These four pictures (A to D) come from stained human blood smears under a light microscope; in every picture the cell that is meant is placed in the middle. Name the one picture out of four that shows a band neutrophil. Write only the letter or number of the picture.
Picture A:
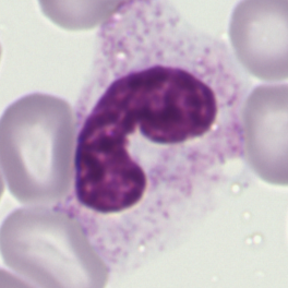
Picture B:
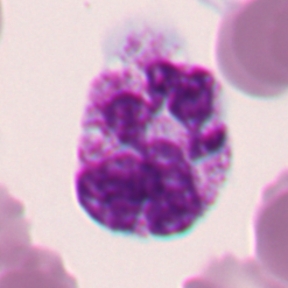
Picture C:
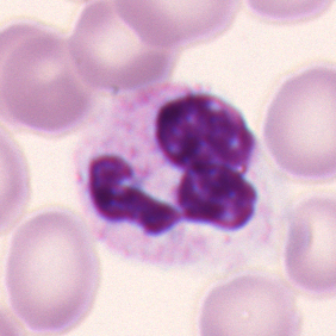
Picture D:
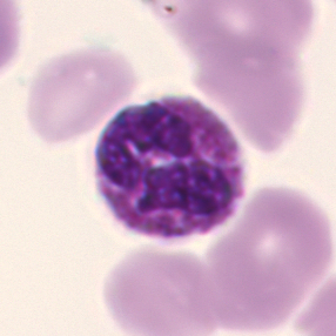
A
